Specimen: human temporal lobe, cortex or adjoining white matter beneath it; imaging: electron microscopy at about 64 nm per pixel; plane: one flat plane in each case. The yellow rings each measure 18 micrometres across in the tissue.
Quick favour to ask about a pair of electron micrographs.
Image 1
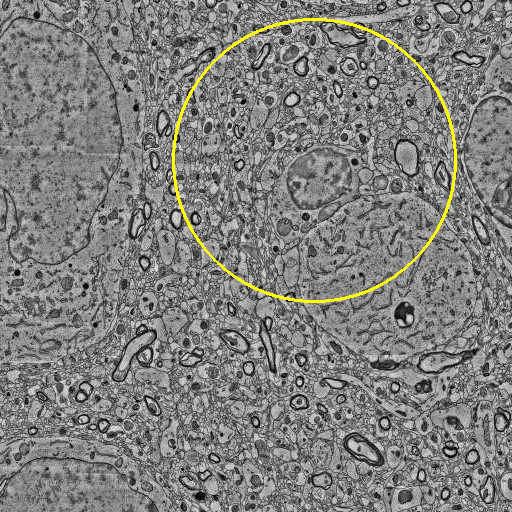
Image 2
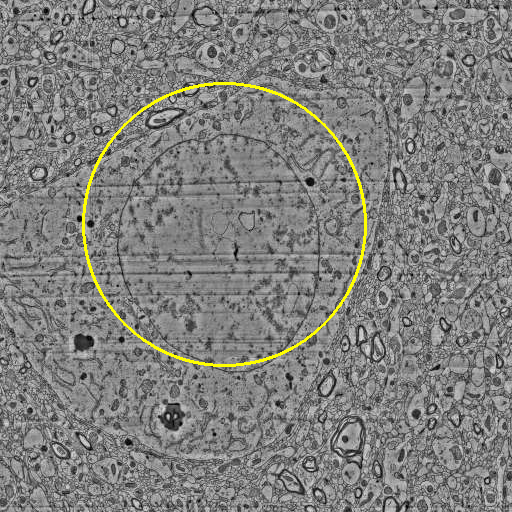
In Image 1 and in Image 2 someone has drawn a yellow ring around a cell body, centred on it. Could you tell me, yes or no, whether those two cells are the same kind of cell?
no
